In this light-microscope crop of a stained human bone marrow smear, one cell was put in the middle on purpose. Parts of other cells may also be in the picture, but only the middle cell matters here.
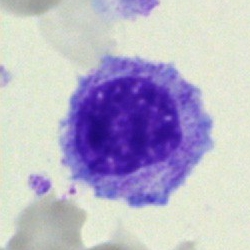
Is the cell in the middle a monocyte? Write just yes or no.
no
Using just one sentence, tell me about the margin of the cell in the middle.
Irregular rather than smooth, the cell margin shows ragged areas or projections.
